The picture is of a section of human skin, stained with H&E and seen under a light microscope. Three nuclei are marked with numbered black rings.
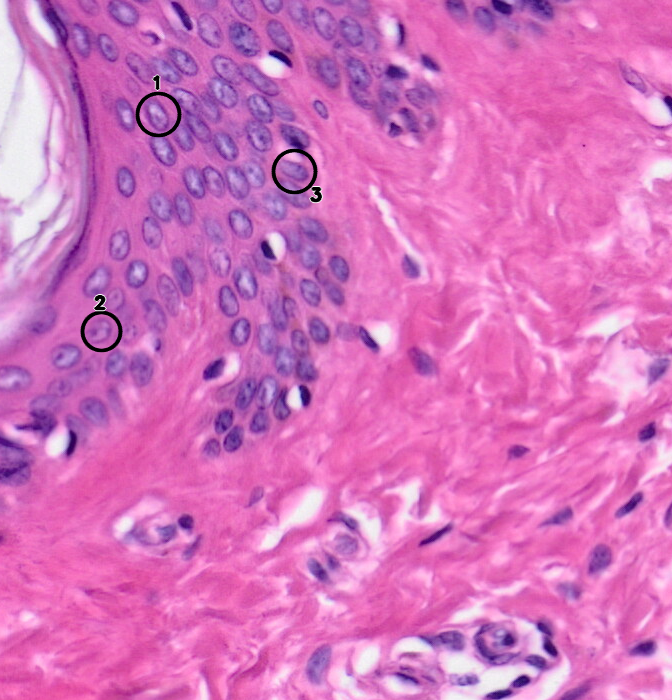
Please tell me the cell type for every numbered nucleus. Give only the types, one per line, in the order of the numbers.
suprabasal keratinocyte
suprabasal keratinocyte
basal keratinocyte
